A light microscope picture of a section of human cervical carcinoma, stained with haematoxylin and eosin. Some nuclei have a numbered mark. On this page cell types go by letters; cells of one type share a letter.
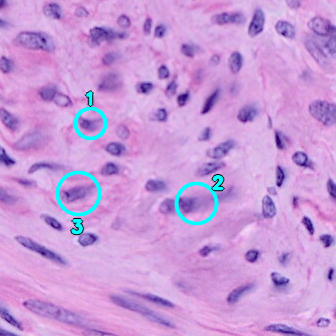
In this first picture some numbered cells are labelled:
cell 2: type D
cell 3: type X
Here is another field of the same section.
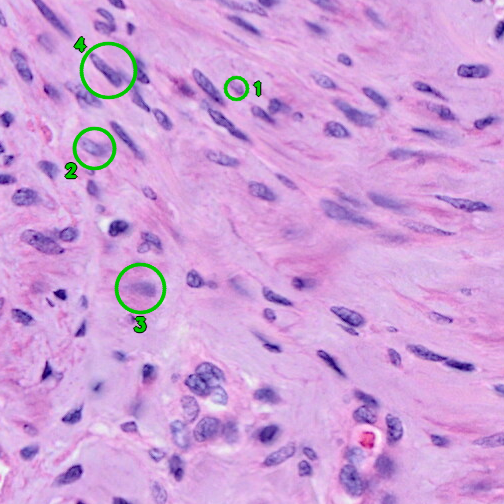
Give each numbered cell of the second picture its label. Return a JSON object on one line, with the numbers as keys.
{"1": "type X", "2": "type X", "3": "type X", "4": "type D"}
